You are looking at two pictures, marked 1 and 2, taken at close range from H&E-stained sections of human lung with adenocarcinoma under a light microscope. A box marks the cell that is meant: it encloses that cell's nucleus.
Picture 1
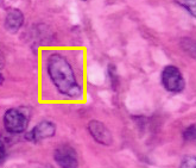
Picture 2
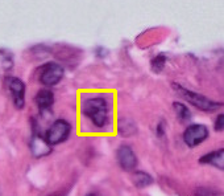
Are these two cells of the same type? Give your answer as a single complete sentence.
No, they differ: the cell is a “macrophage or monocyte” in picture 1 and a plasma cell in picture 2.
